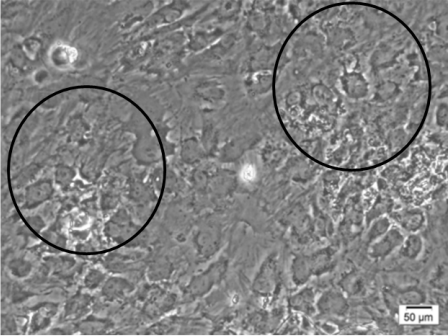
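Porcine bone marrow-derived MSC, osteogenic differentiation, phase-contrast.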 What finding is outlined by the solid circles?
cuboidal morphology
